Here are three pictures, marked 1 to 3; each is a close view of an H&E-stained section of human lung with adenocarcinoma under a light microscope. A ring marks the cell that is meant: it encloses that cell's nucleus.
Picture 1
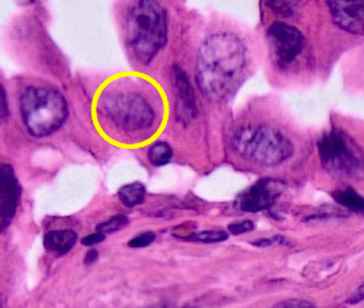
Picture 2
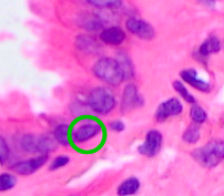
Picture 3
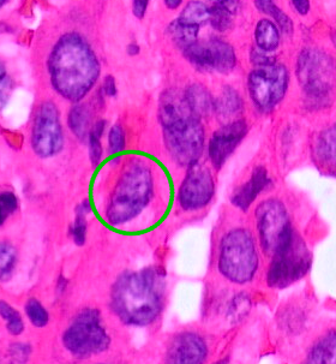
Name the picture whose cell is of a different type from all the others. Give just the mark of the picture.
2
